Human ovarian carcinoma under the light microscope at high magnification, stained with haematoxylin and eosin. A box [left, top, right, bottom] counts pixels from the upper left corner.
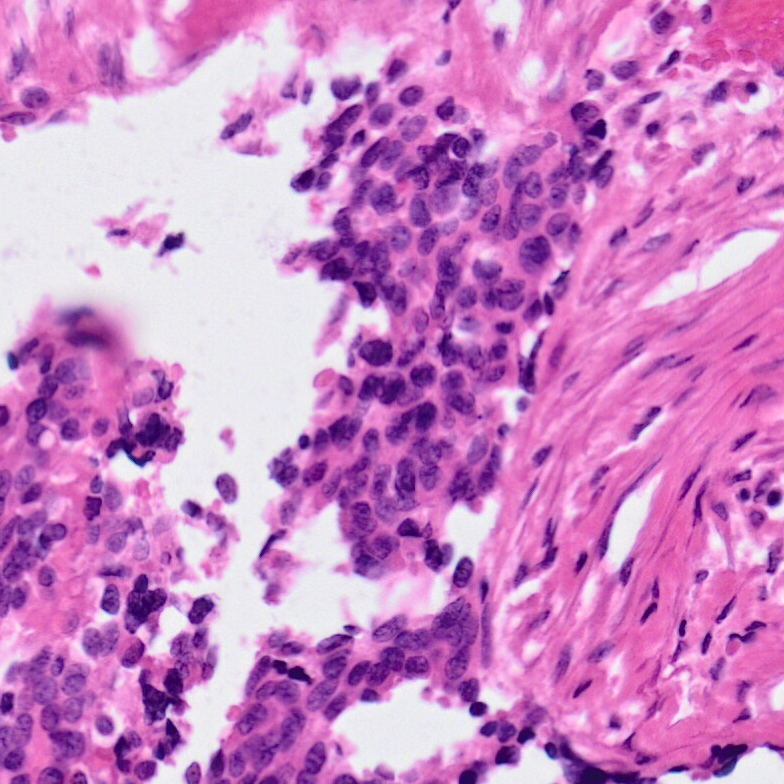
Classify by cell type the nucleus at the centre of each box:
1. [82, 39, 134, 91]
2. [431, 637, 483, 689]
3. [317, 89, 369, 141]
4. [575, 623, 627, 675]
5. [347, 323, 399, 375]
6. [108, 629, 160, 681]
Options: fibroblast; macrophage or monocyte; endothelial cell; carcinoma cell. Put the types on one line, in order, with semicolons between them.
fibroblast; carcinoma cell; carcinoma cell; fibroblast; carcinoma cell; carcinoma cell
